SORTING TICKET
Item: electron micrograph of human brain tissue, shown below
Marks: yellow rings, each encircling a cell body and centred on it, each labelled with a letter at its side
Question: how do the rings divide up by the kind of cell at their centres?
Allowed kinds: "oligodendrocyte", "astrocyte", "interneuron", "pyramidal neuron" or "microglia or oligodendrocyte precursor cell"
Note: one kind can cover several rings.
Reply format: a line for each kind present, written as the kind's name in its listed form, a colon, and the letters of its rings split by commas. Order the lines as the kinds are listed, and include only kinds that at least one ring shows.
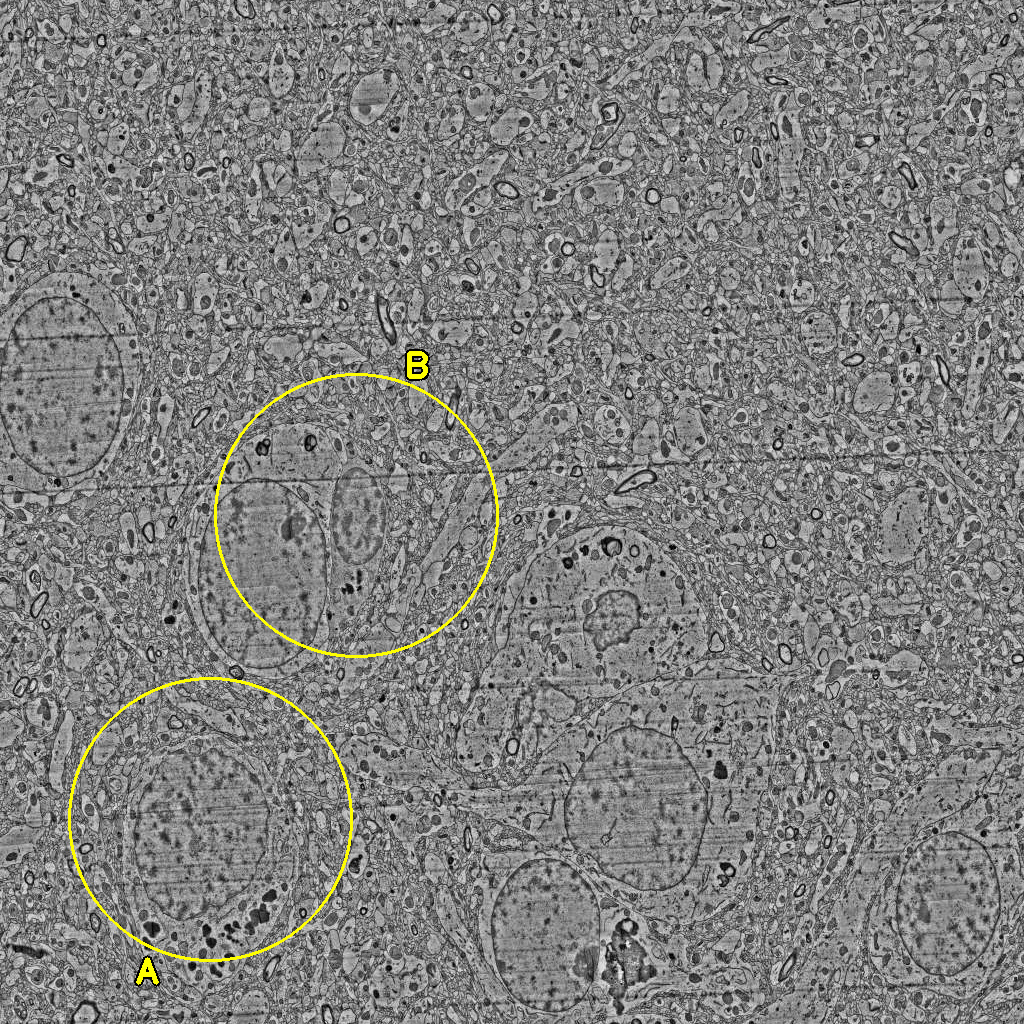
oligodendrocyte: B
interneuron: A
